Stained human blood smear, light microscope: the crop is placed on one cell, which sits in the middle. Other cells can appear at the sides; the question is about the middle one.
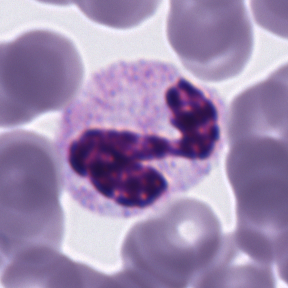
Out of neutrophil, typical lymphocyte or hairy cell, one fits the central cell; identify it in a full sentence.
This crop is built around a neutrophil at its centre.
